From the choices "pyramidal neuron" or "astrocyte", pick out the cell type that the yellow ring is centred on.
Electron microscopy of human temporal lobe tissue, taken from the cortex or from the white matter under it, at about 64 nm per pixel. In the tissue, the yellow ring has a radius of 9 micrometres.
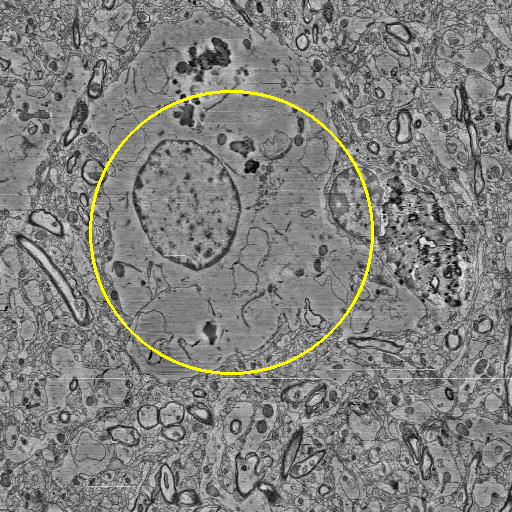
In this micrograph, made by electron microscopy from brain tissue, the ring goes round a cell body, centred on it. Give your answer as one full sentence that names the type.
The yellow ring is centred on an astrocyte, whose cell body it encircles in the picture.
